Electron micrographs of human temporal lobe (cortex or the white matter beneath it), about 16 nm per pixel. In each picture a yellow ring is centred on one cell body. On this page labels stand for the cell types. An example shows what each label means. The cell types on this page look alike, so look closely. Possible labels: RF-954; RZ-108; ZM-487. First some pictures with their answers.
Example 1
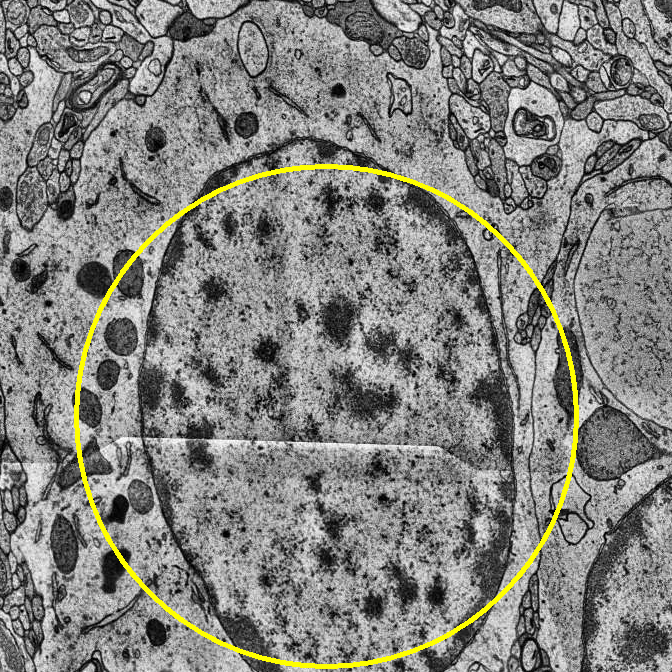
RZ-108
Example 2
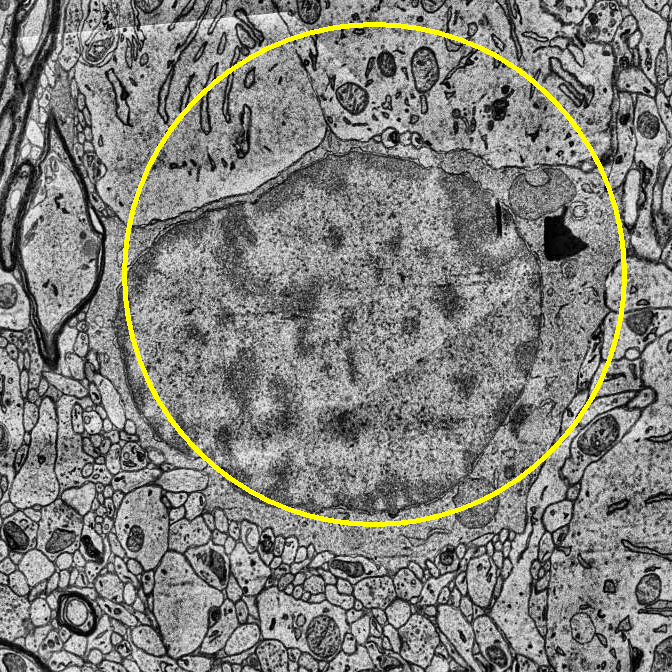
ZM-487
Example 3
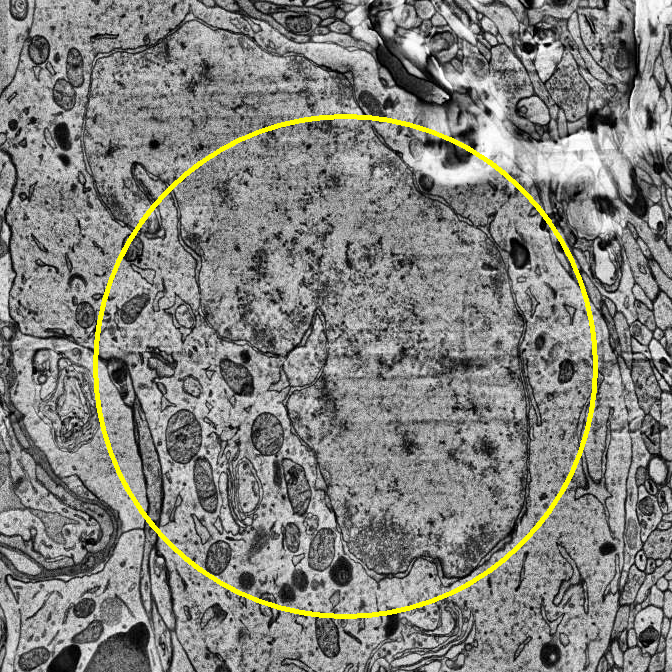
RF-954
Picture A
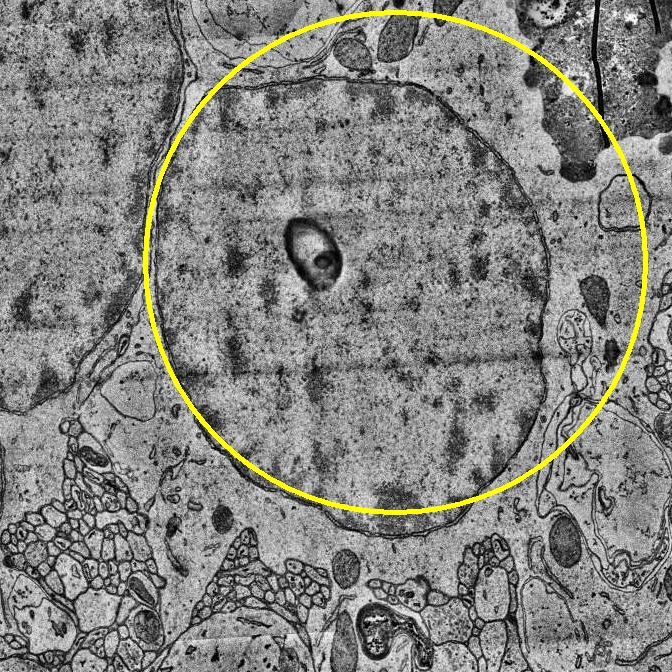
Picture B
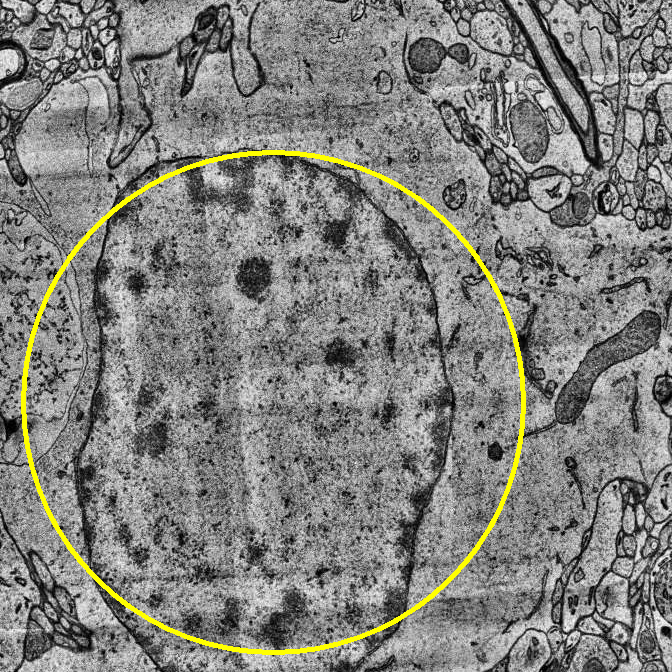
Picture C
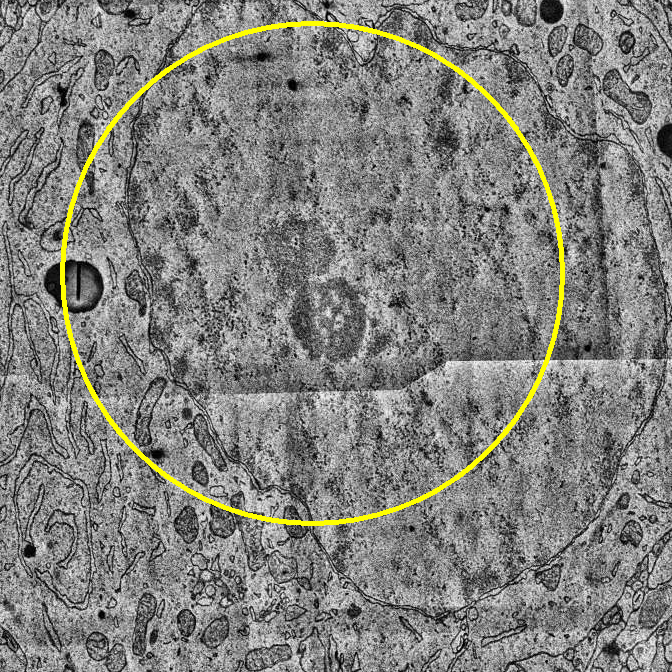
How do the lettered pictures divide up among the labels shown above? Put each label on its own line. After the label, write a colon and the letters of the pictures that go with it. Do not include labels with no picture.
RF-954: C
RZ-108: A, B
